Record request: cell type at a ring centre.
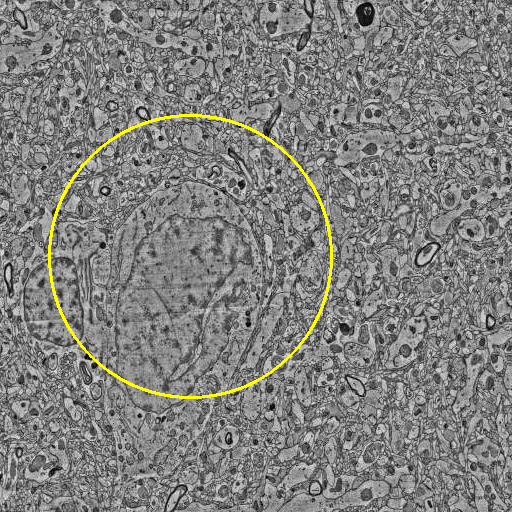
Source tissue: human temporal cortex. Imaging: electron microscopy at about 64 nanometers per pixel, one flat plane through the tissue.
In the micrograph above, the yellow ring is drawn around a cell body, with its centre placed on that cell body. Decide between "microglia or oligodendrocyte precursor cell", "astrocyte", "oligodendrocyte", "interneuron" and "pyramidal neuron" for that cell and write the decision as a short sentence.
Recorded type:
The cell centred in the yellow ring is an interneuron.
